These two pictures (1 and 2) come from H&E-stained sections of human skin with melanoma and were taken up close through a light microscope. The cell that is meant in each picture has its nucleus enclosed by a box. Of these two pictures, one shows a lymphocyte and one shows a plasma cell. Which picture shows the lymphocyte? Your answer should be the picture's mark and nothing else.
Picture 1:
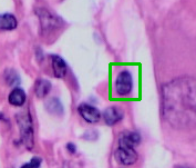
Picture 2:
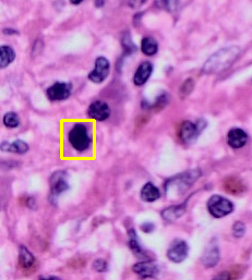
1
